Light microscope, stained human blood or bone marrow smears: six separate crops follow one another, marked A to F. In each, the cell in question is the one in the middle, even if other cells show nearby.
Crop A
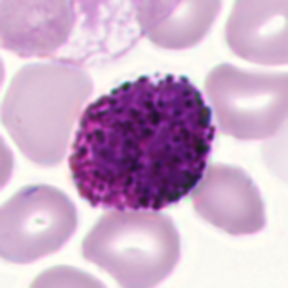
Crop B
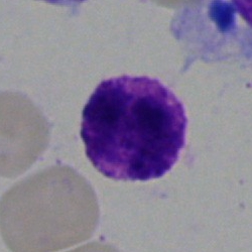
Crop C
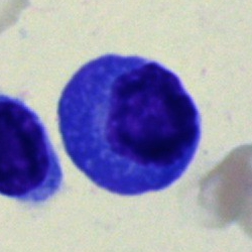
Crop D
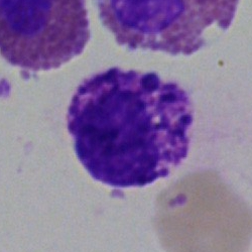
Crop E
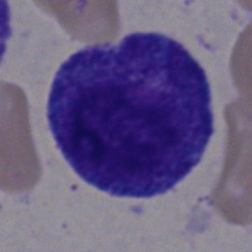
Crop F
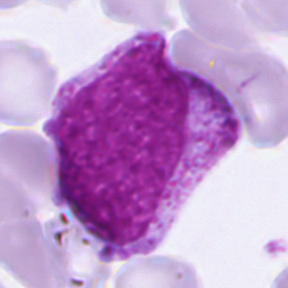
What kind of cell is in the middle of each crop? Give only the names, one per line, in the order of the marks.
basophil
basophil
plasma cell
basophil
promyelocyte
promyelocyte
